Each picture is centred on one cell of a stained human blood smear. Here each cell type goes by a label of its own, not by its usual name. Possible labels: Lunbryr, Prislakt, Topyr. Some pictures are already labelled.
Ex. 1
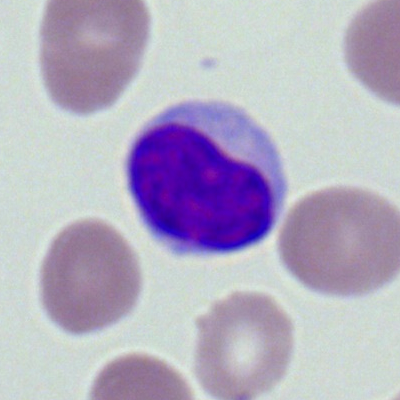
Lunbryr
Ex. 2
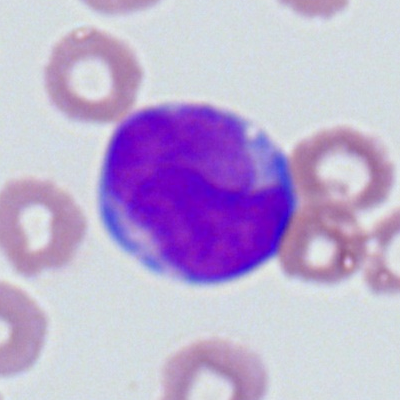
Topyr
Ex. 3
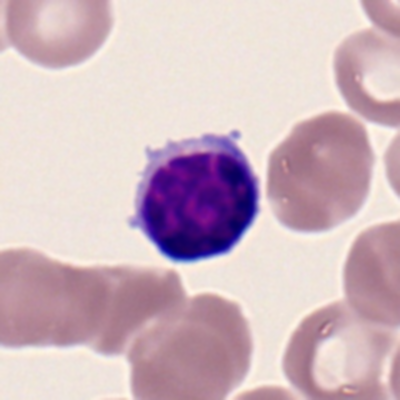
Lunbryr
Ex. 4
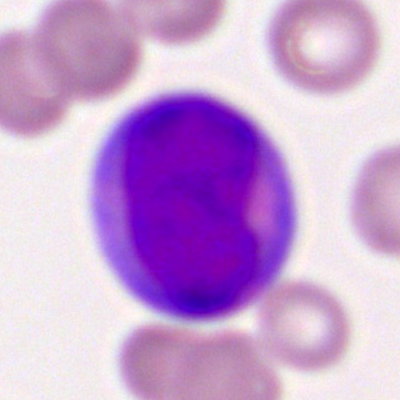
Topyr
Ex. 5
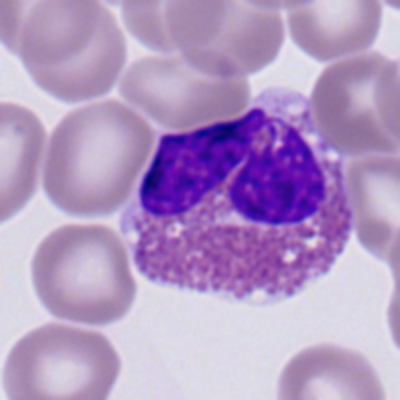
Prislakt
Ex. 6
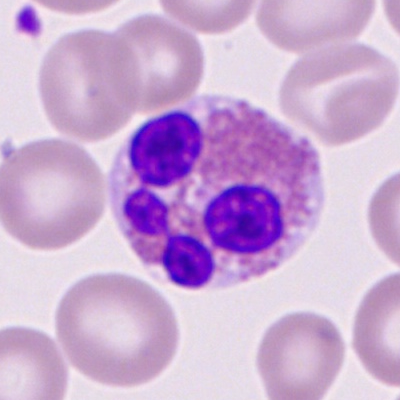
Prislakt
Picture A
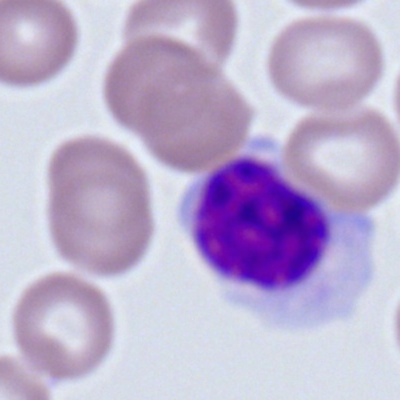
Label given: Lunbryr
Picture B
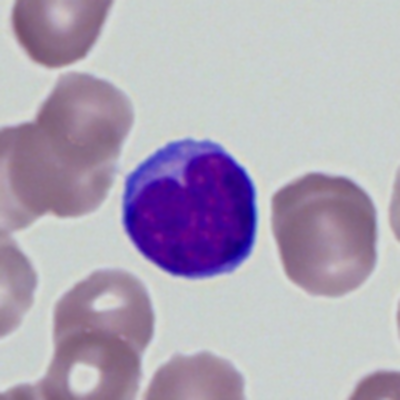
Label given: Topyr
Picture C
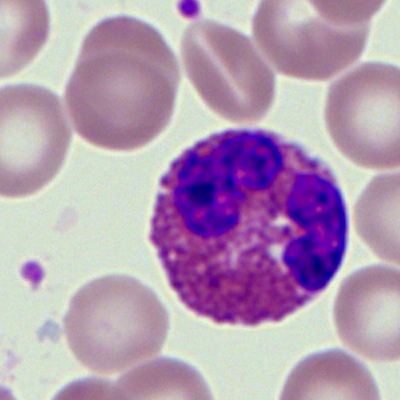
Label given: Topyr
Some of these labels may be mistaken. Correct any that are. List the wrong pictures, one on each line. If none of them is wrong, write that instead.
B: Lunbryr, not Topyr
C: Prislakt, not Topyr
